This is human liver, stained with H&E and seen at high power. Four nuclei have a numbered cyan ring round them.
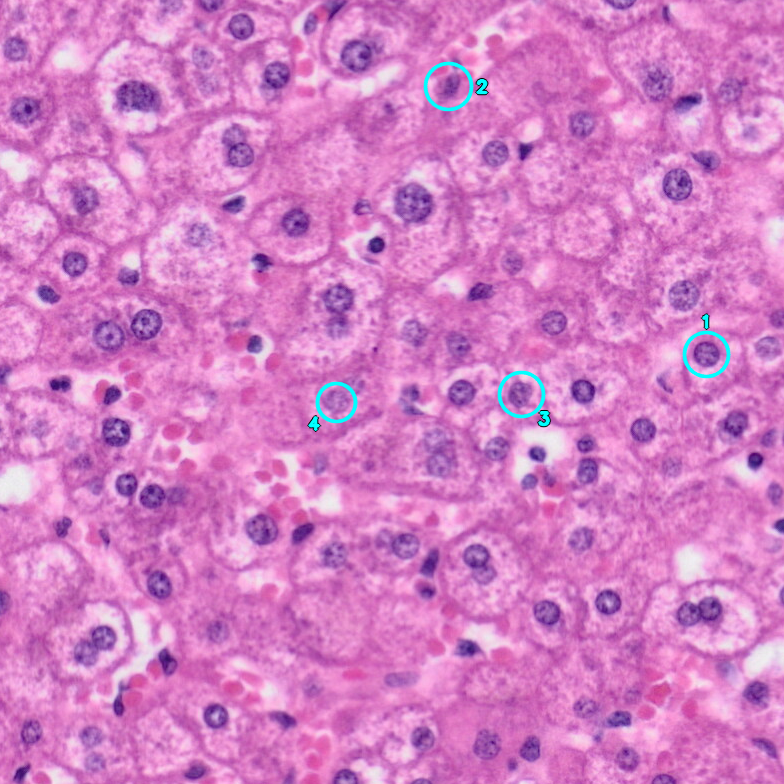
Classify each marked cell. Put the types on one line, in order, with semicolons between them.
hepatocyte; Kupffer cell; hepatocyte; hepatocyte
